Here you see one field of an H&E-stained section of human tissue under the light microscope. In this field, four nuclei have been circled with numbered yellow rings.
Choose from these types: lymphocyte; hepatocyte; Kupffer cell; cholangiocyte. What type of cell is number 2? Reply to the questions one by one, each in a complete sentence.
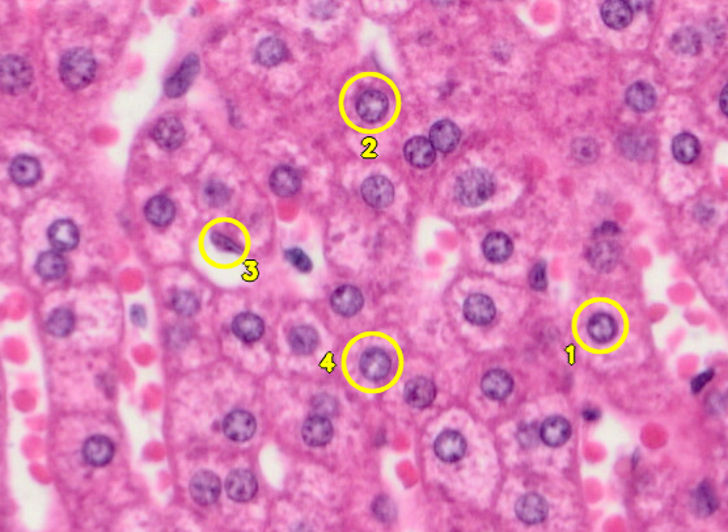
The cell pointed out as number 2 is a hepatocyte.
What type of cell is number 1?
The marked cell with the number 1 is recognised as a hepatocyte.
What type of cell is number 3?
What the number 3 marks in this field is a Kupffer cell.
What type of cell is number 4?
The correct answer for cell 4 is a hepatocyte.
